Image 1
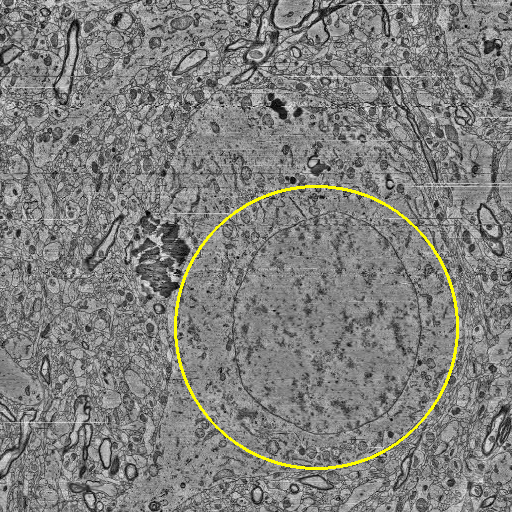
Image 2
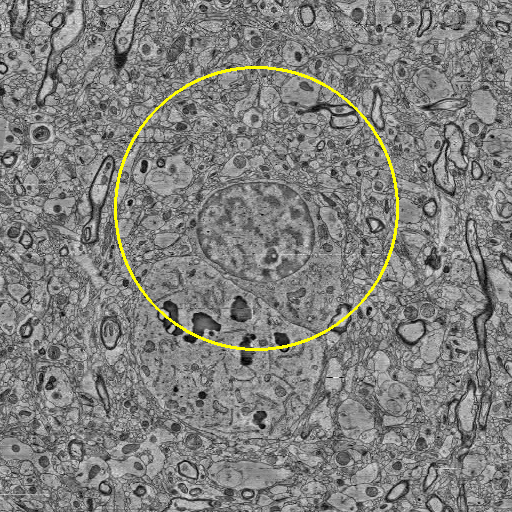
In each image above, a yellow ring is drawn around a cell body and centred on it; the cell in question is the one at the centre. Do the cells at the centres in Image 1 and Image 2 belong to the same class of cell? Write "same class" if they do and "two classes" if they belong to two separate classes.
two classes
